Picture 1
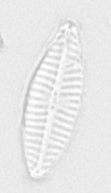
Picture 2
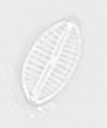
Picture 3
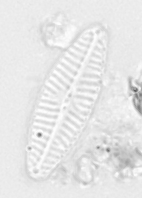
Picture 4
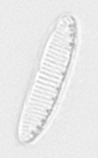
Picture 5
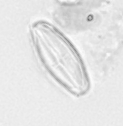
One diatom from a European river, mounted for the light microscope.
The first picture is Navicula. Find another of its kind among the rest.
Picture 3.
